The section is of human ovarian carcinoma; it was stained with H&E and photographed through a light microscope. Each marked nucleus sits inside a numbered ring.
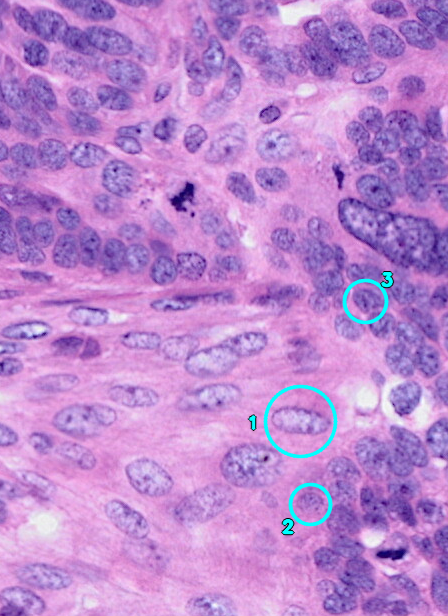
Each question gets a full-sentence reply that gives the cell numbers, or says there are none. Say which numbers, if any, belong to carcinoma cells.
Exactly one numbered cell is a carcinoma cell, and that cell is number 3.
